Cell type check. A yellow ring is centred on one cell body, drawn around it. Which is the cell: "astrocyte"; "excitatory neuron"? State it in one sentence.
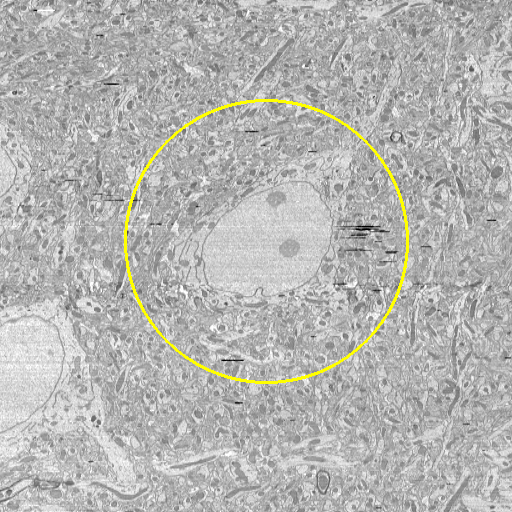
The cell body at the ring's centre belongs to an excitatory neuron.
